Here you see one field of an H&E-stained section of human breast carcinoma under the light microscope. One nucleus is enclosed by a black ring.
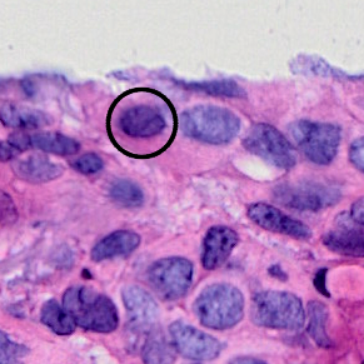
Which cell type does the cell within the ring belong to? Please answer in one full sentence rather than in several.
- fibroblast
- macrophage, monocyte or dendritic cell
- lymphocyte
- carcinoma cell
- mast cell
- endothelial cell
In the tissue at hand, the cell within the ring is a carcinoma cell.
